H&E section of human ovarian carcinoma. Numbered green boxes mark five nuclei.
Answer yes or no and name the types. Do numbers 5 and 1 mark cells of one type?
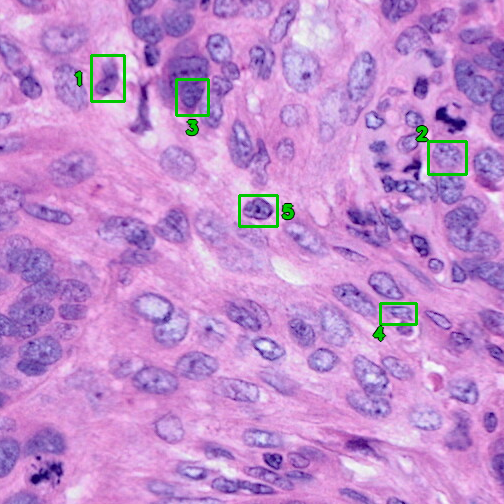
No, not so; cell 5 is a lymphocyte and cell 1 is a macrophage or monocyte.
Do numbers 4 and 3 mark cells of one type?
No, cell 4 is a fibroblast; cell 3, by contrast, is a carcinoma cell.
